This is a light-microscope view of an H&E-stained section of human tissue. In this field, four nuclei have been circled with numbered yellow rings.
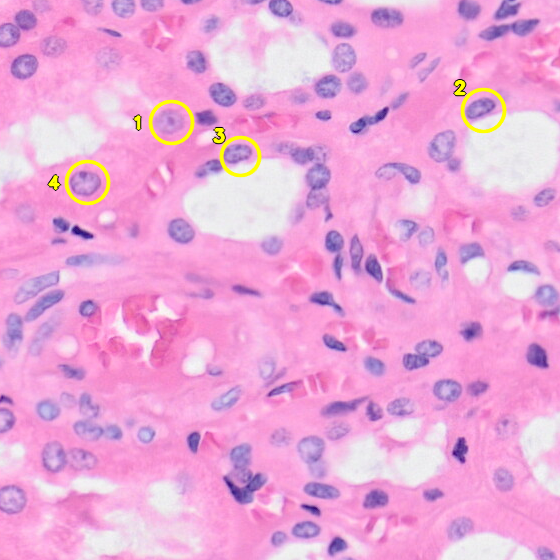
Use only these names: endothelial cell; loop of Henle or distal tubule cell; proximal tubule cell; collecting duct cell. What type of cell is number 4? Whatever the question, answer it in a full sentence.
Nucleus 4 in this section belongs to a proximal tubule cell.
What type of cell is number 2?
Numbered cell 2 is a collecting duct cell in this tissue section.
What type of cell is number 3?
Denoted by the label 3 in the section is a collecting duct cell.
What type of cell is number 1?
Cell number 1 in this section is a proximal tubule cell.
